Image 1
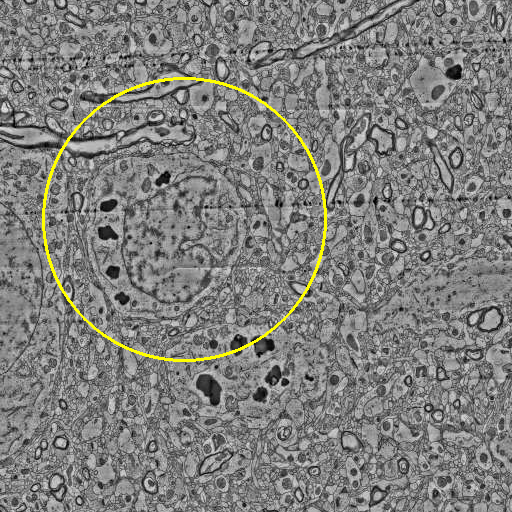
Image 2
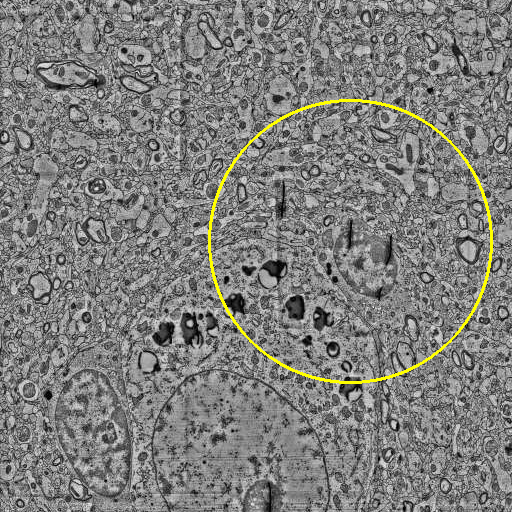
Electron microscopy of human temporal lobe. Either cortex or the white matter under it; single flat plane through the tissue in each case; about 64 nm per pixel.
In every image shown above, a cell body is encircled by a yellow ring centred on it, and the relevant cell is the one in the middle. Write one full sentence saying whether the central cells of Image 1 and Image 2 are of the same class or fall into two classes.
The cell at the ring's centre in Image 1 and its counterpart in Image 2 fall into two classes.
